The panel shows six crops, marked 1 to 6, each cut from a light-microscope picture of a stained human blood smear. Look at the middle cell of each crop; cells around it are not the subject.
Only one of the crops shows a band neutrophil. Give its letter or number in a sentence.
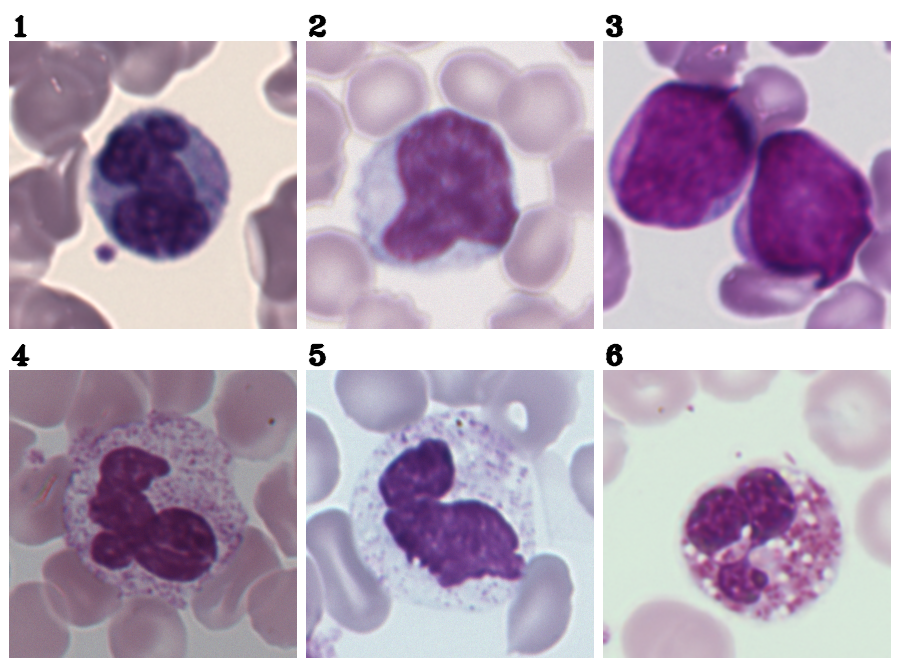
Crop 5 is the one depicting a band neutrophil.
